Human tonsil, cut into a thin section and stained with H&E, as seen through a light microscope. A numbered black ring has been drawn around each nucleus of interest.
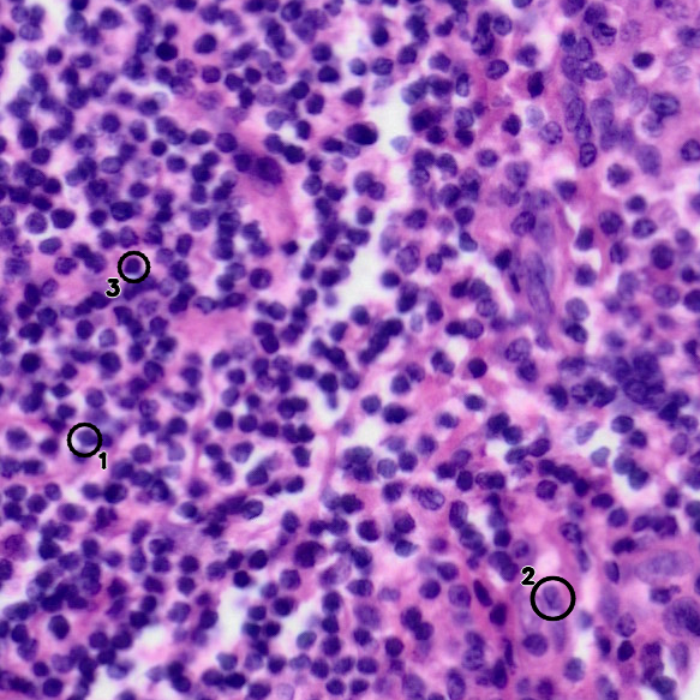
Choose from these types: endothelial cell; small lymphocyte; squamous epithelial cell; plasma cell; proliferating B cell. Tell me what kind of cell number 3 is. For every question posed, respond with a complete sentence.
Cell 3 in the field is a small lymphocyte.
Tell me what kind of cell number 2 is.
The numeral 2 marks an endothelial cell in this section.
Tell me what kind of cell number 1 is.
Cell 1 of the marked set is a small lymphocyte.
